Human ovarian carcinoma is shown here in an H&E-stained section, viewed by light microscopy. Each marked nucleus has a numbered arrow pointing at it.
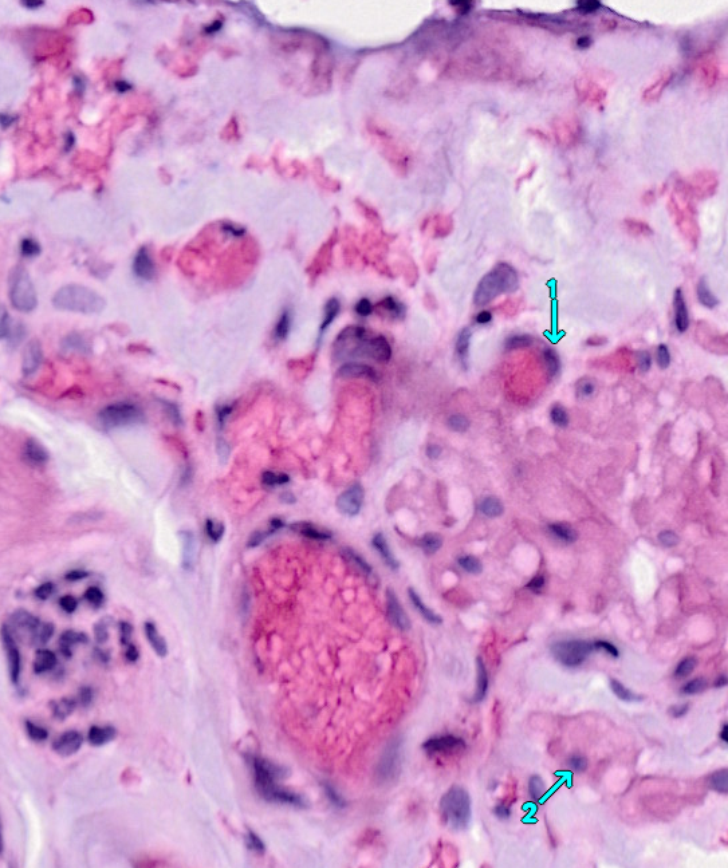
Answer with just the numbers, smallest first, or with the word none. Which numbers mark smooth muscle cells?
2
